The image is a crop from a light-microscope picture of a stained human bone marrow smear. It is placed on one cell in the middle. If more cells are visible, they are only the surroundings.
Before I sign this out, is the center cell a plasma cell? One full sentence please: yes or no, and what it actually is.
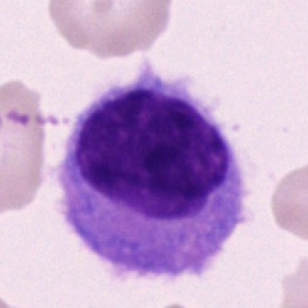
No, the central cell is not a plasma cell, being instead a hairy cell.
